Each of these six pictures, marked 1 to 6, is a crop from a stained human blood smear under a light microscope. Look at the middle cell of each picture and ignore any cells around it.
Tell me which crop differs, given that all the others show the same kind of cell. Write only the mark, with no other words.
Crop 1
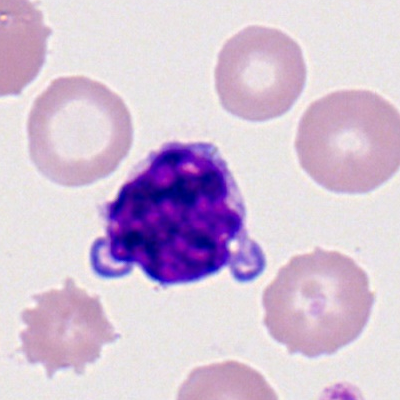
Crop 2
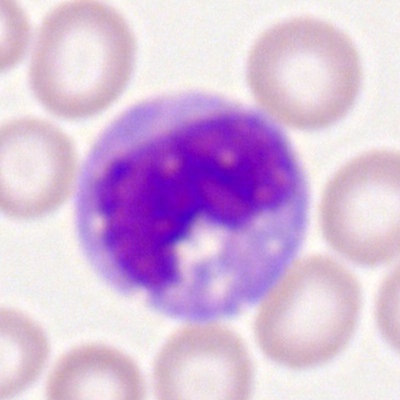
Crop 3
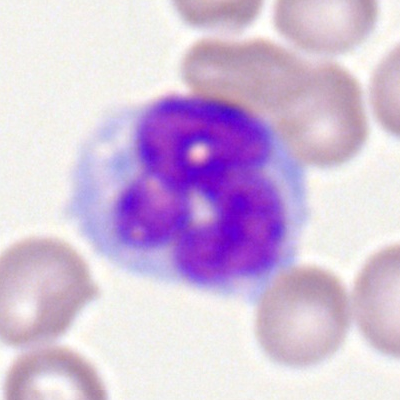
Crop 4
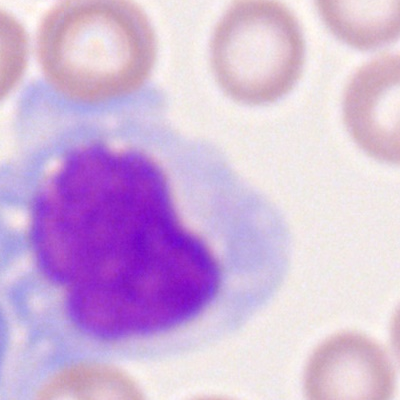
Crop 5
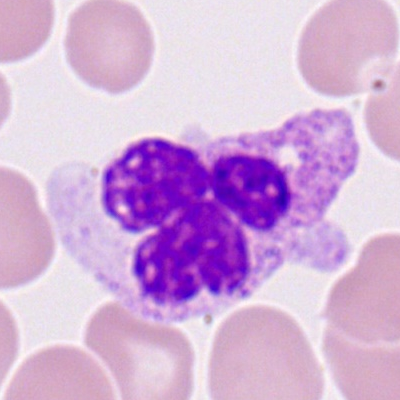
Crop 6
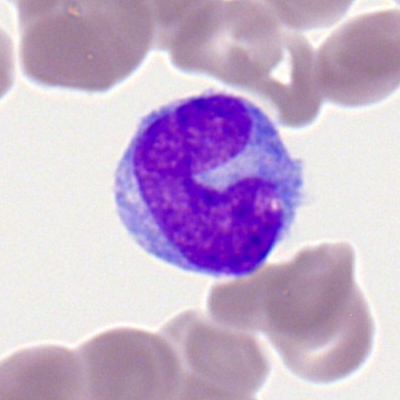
1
